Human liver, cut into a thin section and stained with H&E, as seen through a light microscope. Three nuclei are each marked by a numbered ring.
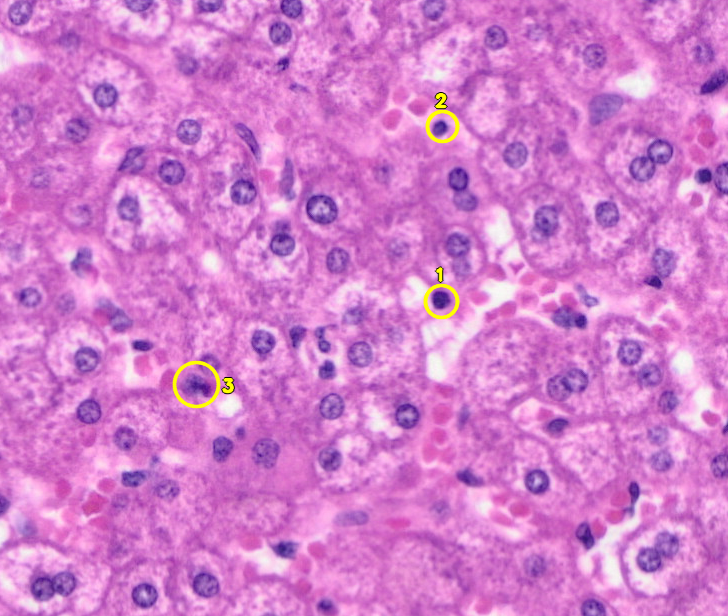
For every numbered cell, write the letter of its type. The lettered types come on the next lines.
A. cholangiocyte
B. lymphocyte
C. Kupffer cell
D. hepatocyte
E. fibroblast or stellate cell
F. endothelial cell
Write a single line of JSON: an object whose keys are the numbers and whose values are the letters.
{"1": "B", "2": "B", "3": "F"}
